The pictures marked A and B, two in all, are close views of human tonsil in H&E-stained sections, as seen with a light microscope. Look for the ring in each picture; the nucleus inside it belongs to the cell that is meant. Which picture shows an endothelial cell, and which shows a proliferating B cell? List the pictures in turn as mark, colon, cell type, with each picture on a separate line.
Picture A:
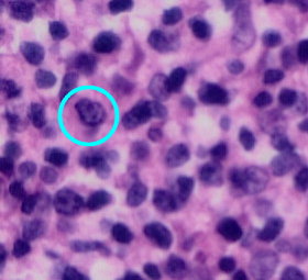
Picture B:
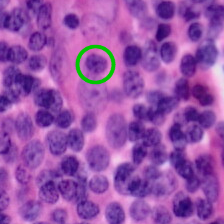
A: proliferating B cell
B: endothelial cell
